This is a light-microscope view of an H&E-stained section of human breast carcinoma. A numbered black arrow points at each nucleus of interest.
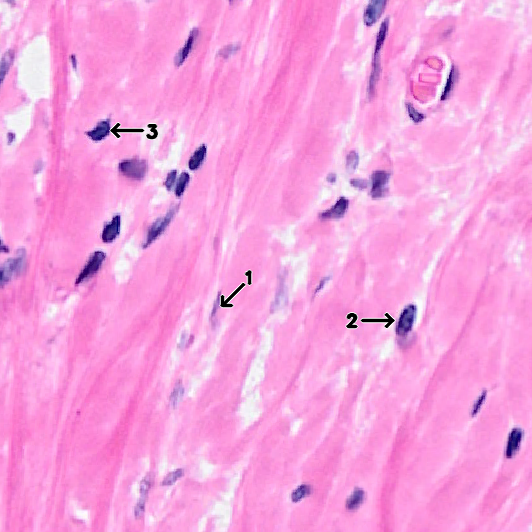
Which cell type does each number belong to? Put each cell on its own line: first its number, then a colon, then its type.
1: fibroblast
2: lymphocyte
3: lymphocyte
